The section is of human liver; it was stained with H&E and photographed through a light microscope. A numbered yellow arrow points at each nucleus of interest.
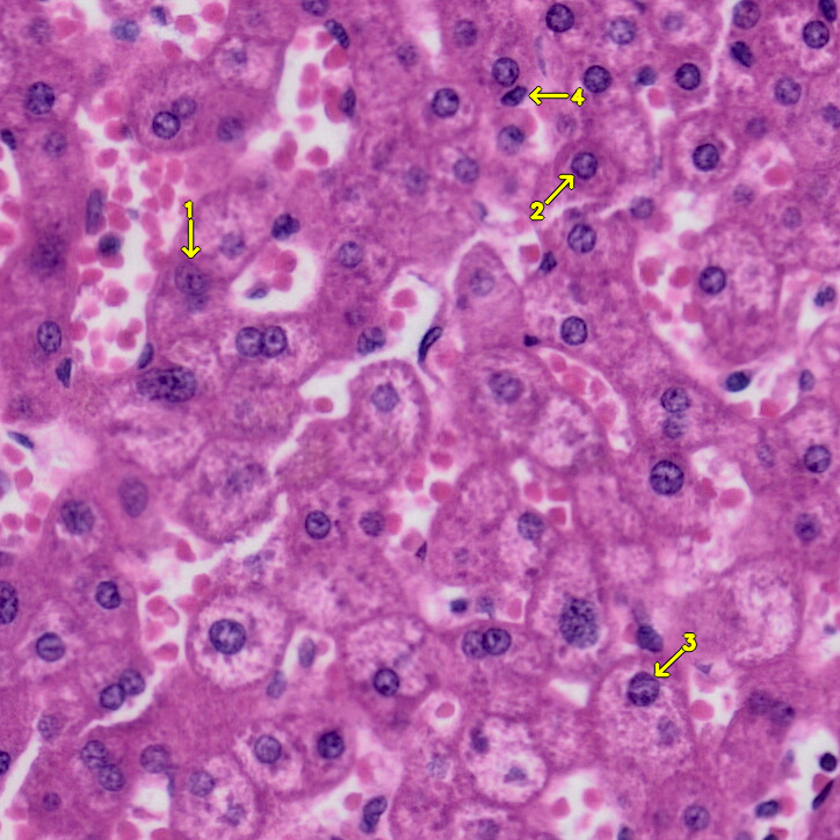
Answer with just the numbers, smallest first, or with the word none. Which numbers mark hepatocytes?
1, 2, 3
